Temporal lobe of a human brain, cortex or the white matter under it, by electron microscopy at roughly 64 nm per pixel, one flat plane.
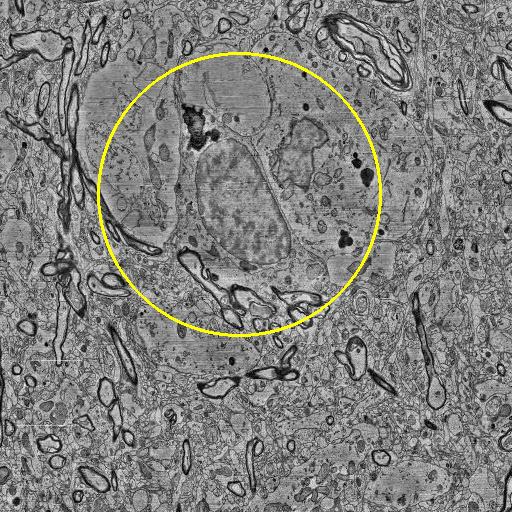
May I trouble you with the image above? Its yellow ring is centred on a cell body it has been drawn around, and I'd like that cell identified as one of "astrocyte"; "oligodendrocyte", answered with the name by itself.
oligodendrocyte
